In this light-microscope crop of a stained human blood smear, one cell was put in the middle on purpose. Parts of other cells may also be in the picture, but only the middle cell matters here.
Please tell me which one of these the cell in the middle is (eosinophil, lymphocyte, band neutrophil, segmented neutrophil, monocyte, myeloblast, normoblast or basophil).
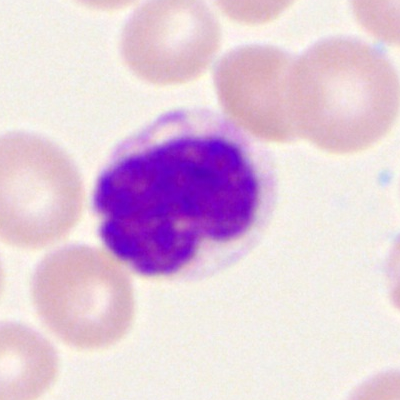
basophil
